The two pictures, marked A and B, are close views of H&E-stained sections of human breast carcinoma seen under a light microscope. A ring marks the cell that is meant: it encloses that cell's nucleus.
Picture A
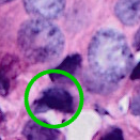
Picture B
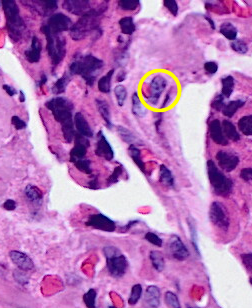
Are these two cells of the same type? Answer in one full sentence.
No, picture A shows a carcinoma cell and picture B shows an endothelial cell.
